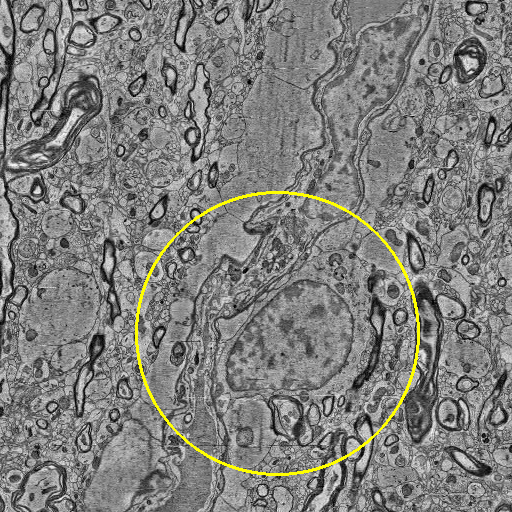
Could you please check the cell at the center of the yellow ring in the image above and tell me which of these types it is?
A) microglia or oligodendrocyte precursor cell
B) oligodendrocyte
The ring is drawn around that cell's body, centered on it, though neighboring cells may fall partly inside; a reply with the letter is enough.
B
